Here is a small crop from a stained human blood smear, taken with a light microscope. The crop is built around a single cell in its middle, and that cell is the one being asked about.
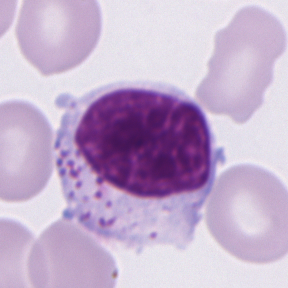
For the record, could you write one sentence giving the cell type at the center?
The cell of interest, located centrally, is a large granular lymphocyte.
